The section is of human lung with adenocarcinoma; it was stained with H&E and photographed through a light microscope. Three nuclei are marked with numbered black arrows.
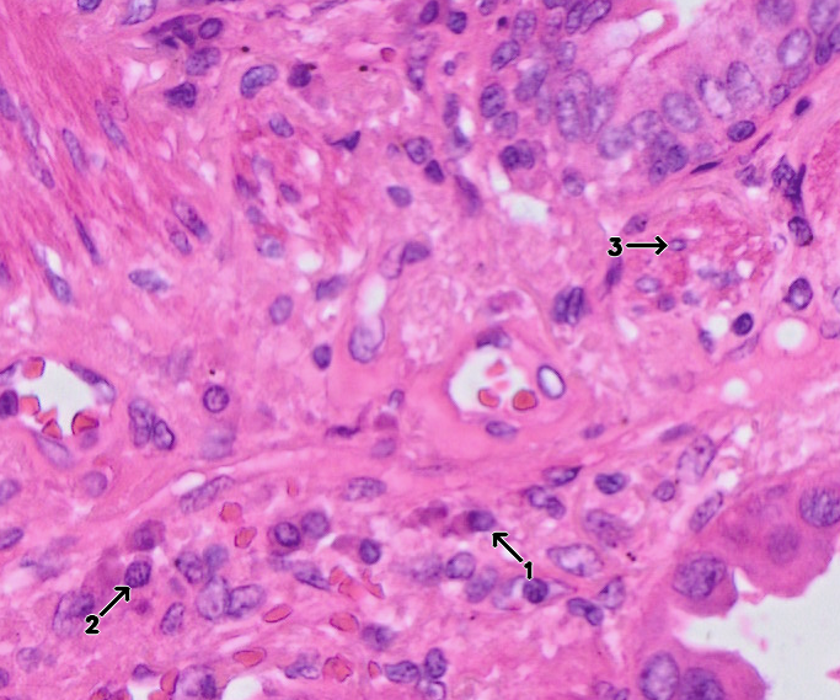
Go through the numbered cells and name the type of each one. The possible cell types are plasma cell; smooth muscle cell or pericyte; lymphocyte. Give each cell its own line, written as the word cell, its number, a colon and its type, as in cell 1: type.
cell 1: plasma cell
cell 2: plasma cell
cell 3: smooth muscle cell or pericyte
